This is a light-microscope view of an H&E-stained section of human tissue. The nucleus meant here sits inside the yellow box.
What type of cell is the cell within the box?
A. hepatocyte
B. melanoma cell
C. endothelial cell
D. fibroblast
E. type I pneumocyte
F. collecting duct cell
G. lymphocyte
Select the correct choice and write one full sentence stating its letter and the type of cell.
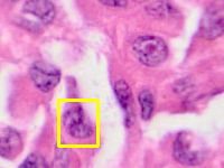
In keeping with option B, the cell within the box is a melanoma cell.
